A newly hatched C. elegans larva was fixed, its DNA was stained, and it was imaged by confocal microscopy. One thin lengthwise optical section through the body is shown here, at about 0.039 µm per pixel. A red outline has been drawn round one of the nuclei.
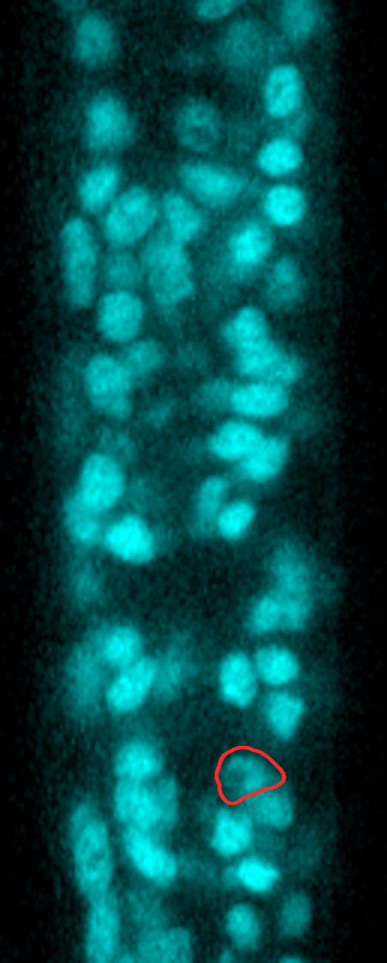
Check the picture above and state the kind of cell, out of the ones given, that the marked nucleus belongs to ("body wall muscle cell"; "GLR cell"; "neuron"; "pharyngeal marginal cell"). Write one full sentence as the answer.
The marked nucleus belongs to a neuron.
